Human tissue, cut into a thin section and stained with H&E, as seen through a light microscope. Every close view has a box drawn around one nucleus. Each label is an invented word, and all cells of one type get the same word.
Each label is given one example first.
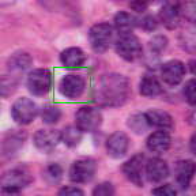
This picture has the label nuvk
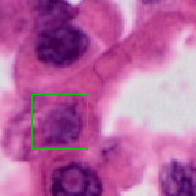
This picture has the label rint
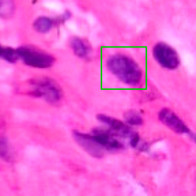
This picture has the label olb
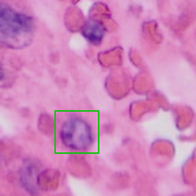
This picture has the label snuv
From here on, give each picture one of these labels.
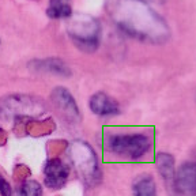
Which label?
olb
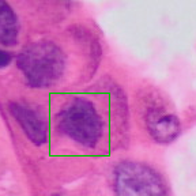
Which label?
rint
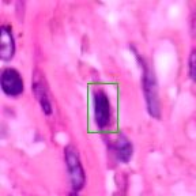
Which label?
olb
